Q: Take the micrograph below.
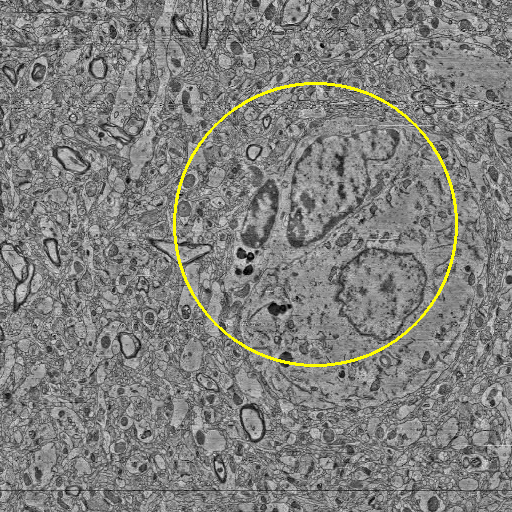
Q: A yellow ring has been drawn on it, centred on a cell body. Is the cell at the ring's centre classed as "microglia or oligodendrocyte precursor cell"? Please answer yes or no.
Yes, that is its kind.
